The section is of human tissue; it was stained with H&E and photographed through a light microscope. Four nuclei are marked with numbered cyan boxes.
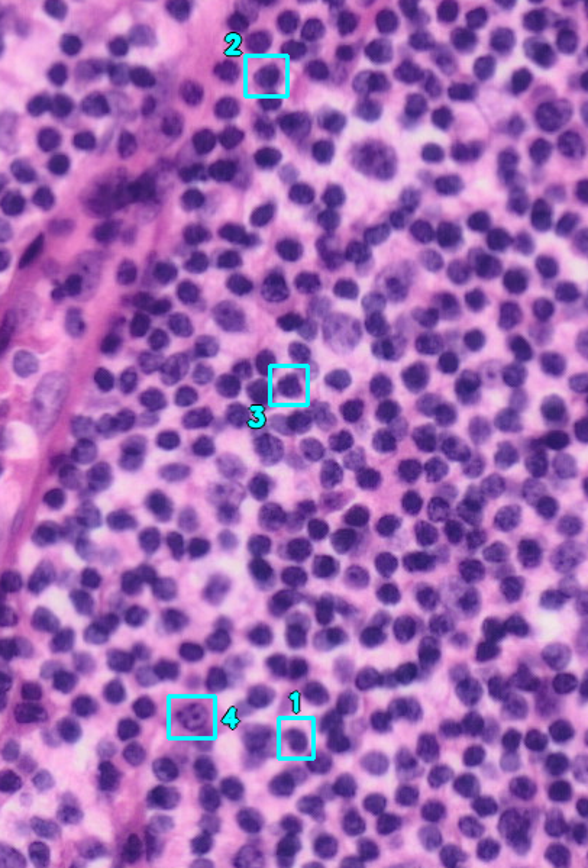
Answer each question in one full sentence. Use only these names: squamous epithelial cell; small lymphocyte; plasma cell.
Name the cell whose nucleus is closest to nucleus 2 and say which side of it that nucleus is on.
Lying below nucleus 2, the nearest nucleus is that of a small lymphocyte.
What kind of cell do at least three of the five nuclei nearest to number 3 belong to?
Small lymphocytes account for more than half of the five nuclei nearest to number 3.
